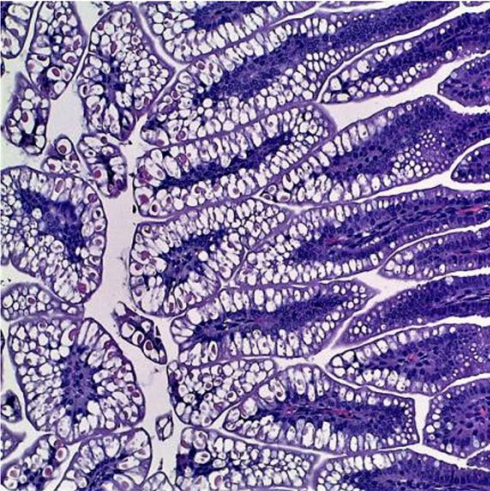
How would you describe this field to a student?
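Intestinal mucosa with tall, closely packed villi radiating from the wall toward the lumen. Each villus has a slender purple connective-tissue core covered by a single layer of columnar epithelium. The epithelium holds very many goblet cells, seen as clear, rounded vacuoles between the darker absorptive cells.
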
